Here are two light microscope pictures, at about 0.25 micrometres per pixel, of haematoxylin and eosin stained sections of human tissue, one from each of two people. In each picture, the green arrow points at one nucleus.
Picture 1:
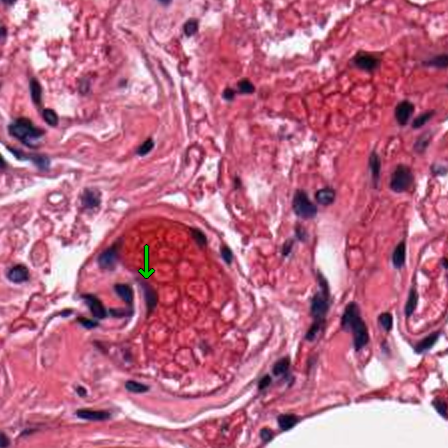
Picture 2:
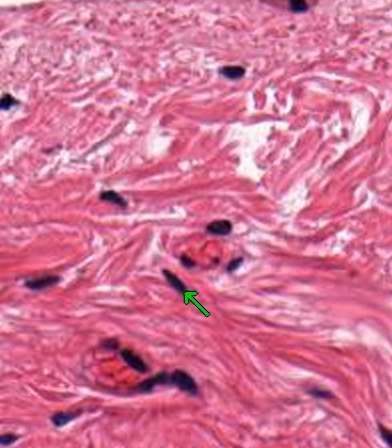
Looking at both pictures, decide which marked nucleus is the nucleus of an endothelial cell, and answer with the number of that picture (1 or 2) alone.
1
